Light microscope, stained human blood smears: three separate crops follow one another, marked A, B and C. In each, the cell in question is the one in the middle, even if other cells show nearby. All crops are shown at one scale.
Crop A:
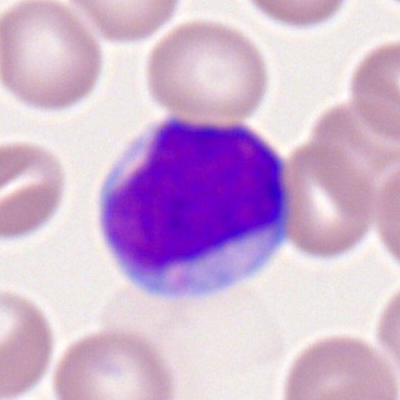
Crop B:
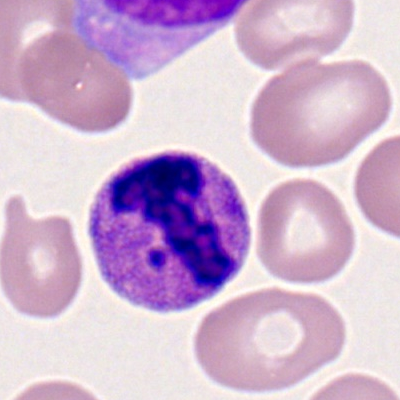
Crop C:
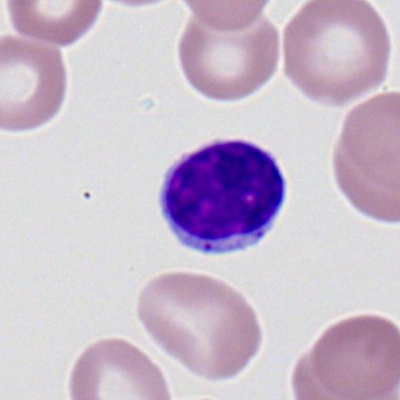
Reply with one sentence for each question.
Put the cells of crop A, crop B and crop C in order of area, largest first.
From the largest down, the order is A, B, C.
